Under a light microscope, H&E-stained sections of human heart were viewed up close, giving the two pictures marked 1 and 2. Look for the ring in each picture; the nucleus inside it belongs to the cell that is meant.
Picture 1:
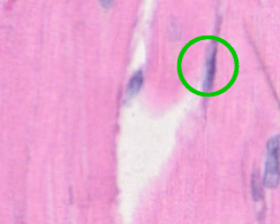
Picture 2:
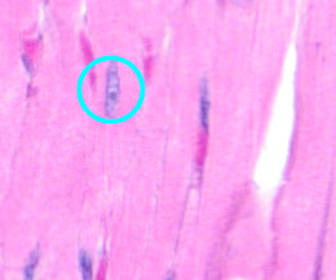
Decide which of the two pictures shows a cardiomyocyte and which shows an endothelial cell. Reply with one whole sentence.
It is picture 1 that shows an endothelial cell, and picture 2 that shows a cardiomyocyte.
